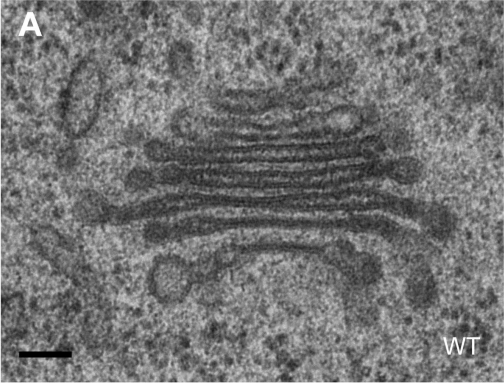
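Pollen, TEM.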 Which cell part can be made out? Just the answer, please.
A: Golgi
